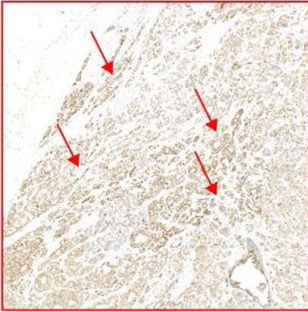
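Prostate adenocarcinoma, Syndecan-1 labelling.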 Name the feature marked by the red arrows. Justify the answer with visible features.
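Brown-stained tumour cells lie in small clusters, strands and isolated cells within pale stroma. On this evidence: nests, cords and single cells.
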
